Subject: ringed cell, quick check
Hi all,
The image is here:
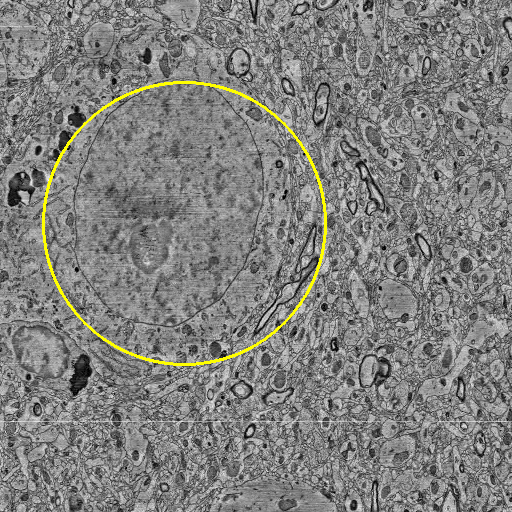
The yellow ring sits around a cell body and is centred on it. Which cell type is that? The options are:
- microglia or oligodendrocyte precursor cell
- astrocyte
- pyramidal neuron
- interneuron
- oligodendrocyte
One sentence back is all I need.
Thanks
That ringed cell is a pyramidal neuron.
